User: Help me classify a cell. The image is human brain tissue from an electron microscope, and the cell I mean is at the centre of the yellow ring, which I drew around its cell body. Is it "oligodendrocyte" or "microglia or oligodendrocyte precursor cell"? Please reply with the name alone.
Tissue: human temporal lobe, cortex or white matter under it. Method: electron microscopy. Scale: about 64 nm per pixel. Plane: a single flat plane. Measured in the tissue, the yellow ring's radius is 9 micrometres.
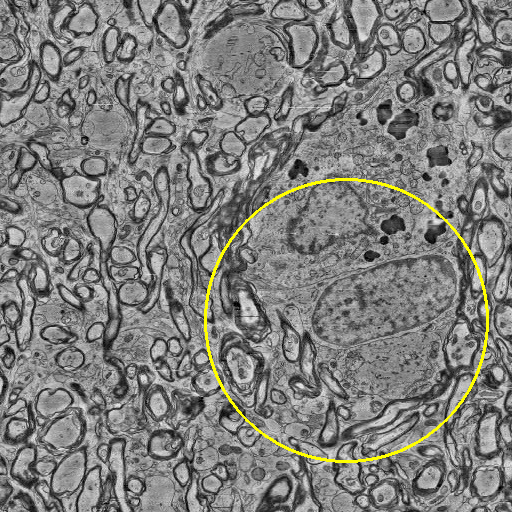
microglia or oligodendrocyte precursor cell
